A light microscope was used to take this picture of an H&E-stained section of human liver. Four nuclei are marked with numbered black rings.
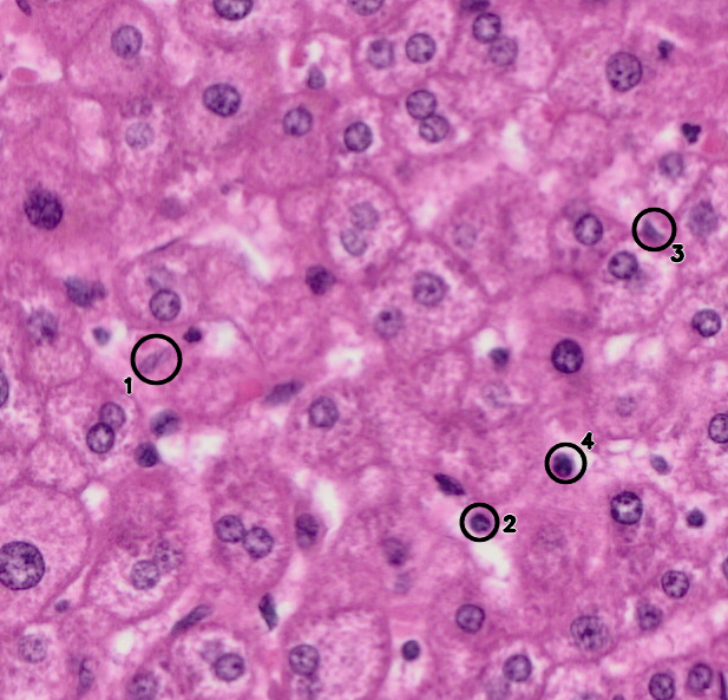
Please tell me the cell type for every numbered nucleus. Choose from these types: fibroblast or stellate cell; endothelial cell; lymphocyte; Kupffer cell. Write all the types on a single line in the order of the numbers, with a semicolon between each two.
Kupffer cell; lymphocyte; endothelial cell; lymphocyte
